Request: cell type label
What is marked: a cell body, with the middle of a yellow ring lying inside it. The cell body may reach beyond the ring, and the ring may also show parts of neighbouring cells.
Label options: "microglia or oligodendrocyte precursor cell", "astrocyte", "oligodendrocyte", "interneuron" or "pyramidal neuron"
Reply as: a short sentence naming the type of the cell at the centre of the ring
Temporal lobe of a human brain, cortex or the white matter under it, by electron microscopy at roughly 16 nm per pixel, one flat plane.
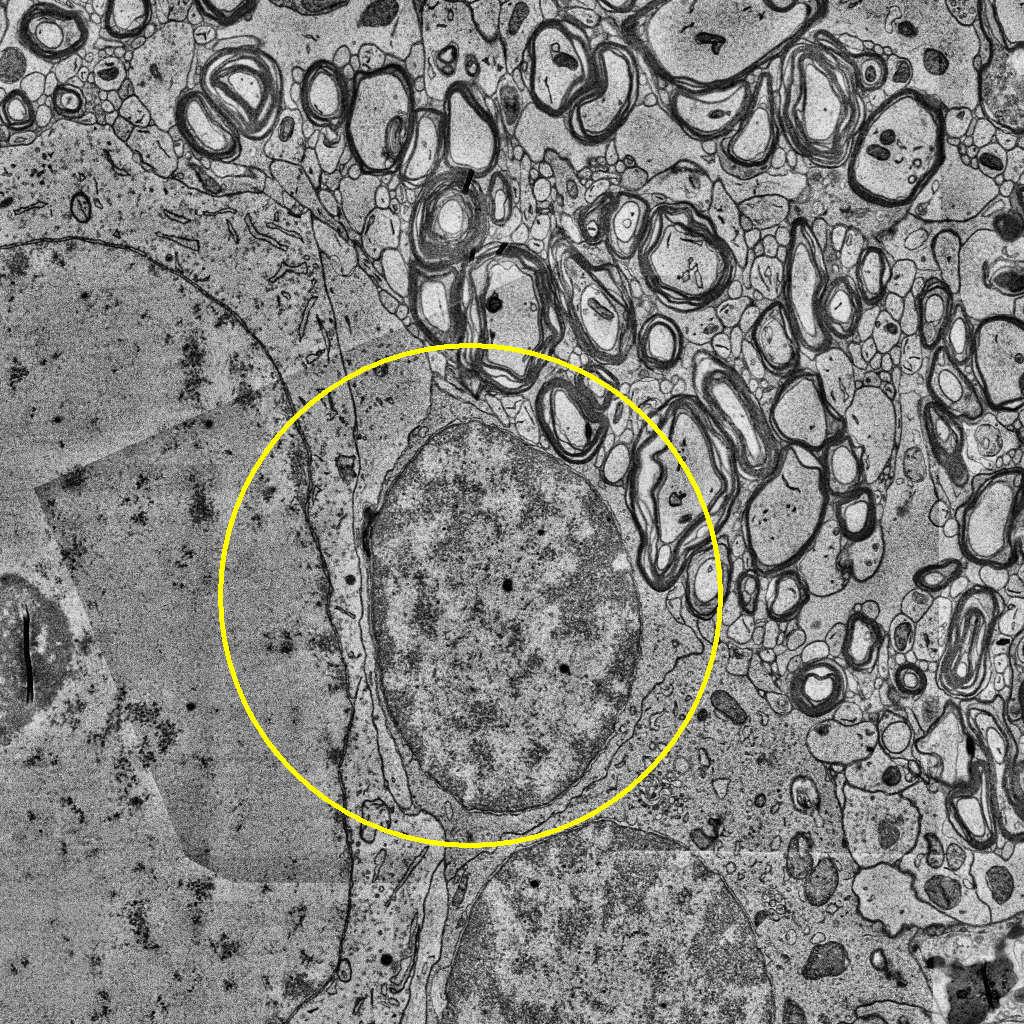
The marked cell body is that of an oligodendrocyte.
